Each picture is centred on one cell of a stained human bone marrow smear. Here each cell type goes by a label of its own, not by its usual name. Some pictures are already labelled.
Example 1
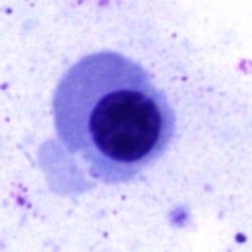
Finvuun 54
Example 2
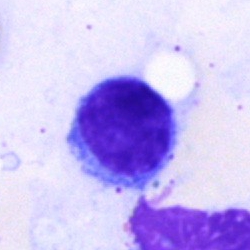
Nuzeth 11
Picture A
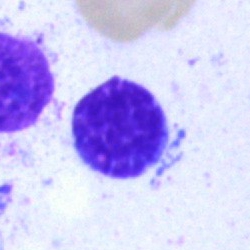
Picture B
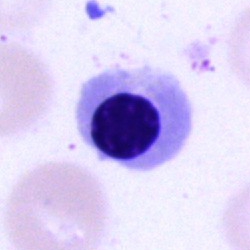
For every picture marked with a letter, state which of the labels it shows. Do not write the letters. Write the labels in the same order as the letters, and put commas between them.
Nuzeth 11, Finvuun 54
